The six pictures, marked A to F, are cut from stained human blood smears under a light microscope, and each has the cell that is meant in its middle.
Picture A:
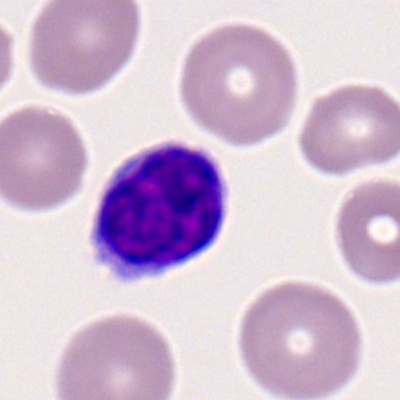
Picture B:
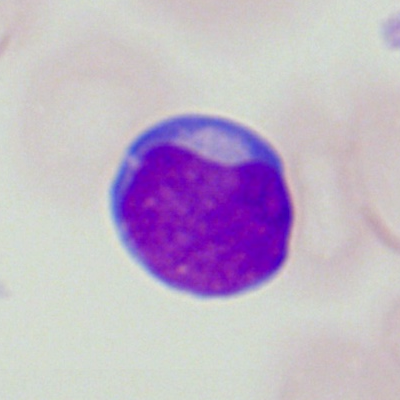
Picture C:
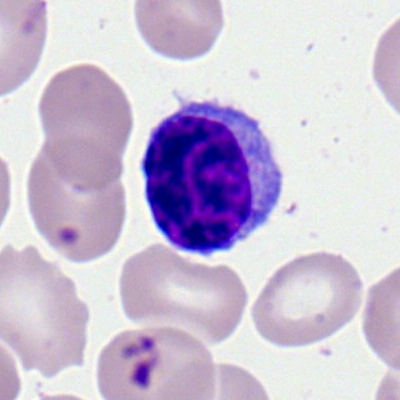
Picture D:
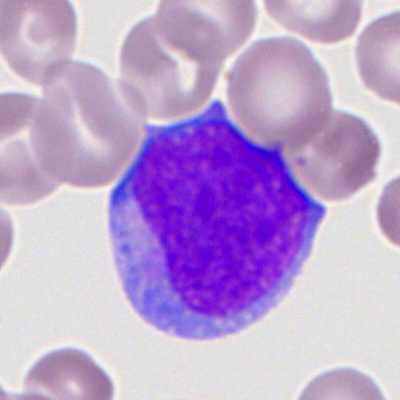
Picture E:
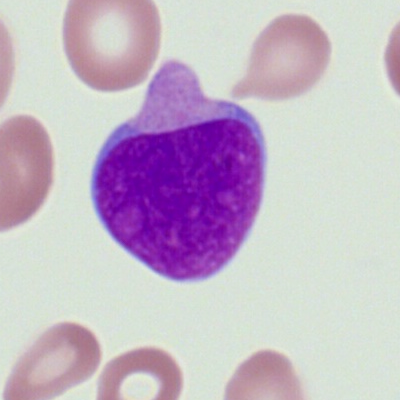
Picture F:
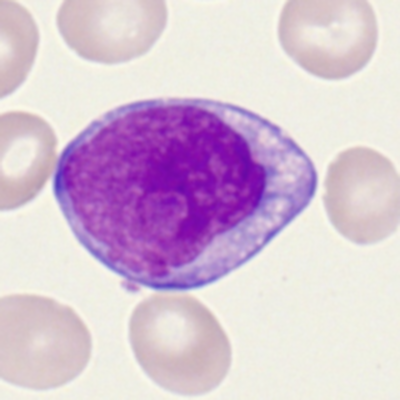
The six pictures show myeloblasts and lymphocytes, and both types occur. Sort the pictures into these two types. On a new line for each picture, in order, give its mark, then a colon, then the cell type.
A: lymphocyte
B: myeloblast
C: lymphocyte
D: myeloblast
E: myeloblast
F: myeloblast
